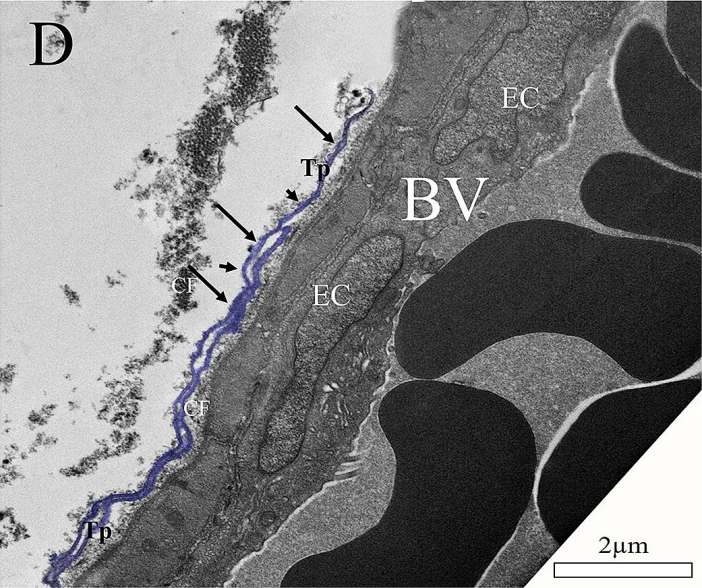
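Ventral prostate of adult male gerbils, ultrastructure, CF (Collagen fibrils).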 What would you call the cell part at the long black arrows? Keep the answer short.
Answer: Podoms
